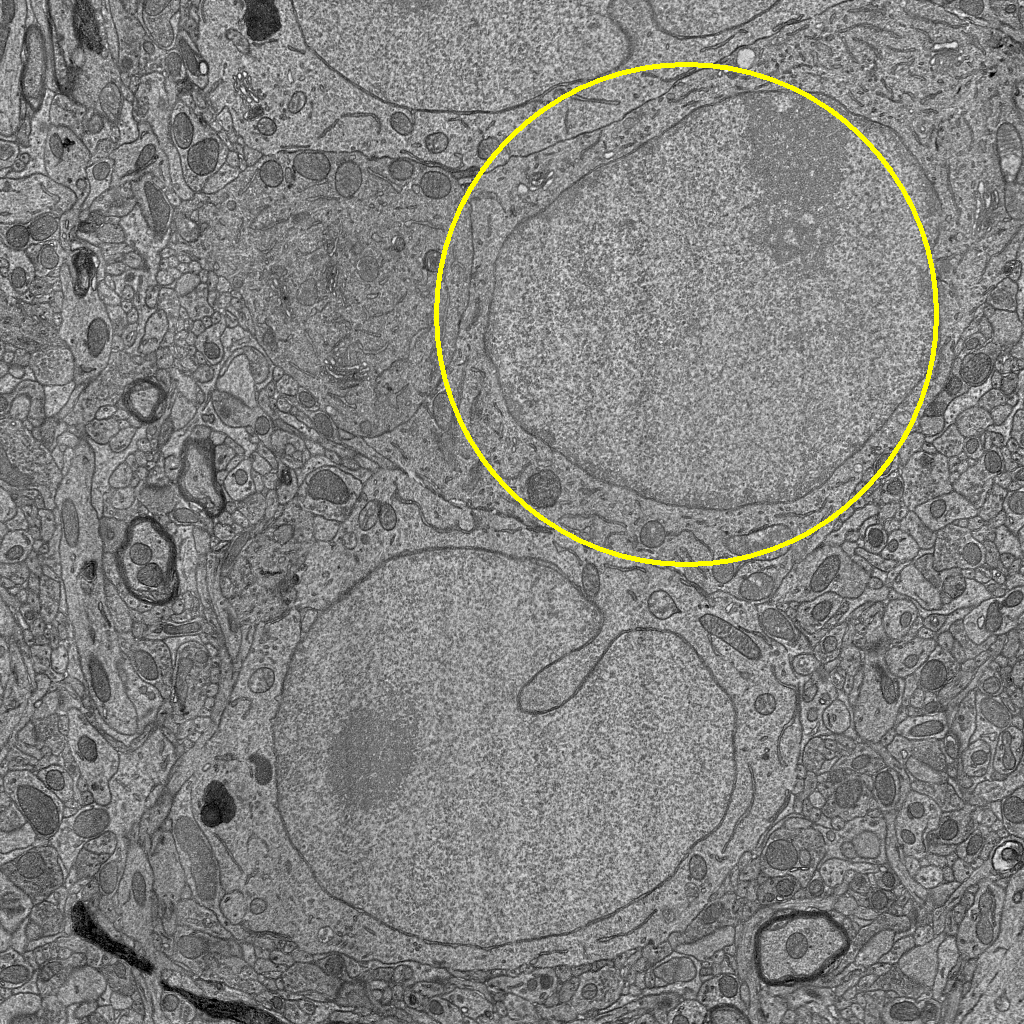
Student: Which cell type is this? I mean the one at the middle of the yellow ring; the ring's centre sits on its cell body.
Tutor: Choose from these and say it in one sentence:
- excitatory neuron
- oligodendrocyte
The cell at the ring's centre is an oligodendrocyte.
